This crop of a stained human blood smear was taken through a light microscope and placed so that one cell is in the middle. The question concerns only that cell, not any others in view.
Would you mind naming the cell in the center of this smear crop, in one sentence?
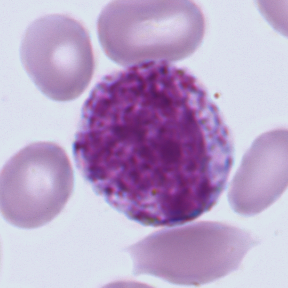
The cell at the middle of the frame should be recorded as a metamyelocyte.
